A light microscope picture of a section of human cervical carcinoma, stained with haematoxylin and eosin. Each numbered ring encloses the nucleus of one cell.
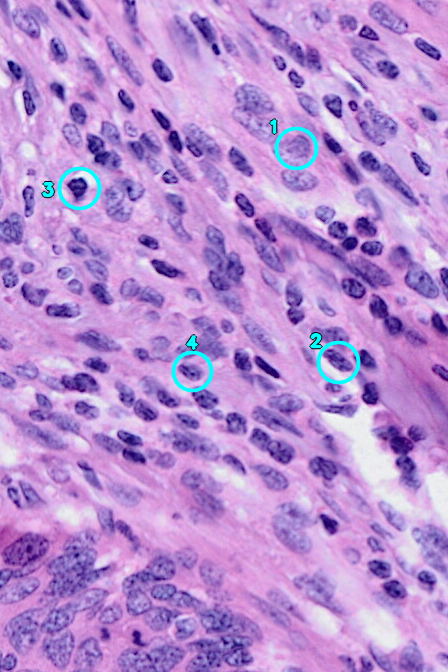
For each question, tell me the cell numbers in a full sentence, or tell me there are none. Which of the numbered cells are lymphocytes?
So, the cells with numbers 2, 3 and 4 are lymphocytes.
